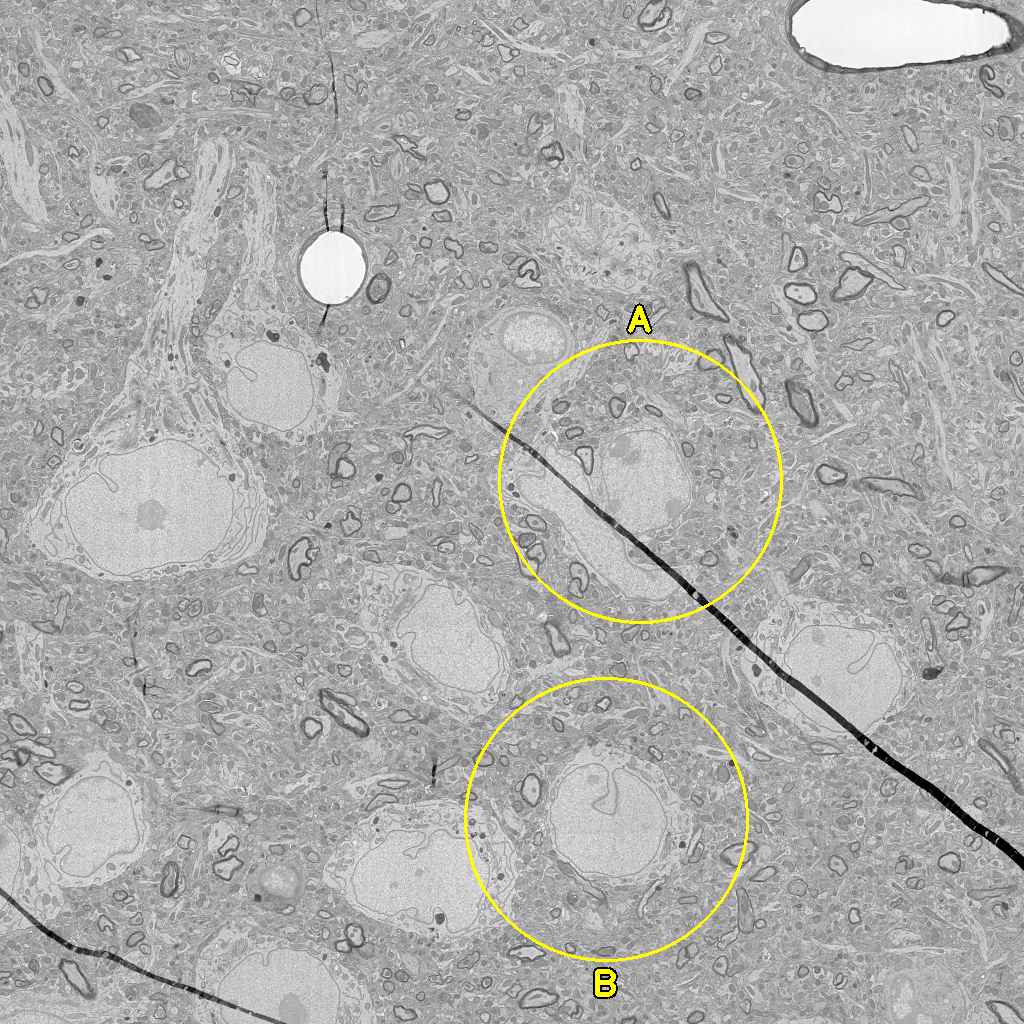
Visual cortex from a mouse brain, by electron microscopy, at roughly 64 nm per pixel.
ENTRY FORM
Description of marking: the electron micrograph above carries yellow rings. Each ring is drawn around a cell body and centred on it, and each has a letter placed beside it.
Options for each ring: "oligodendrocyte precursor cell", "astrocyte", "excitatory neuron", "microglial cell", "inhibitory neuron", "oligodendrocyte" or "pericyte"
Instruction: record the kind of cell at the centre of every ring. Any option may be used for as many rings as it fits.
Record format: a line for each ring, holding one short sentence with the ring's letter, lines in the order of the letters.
Ring A surrounds the cell body of an astrocyte.
Ring B surrounds the cell body of an excitatory neuron.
